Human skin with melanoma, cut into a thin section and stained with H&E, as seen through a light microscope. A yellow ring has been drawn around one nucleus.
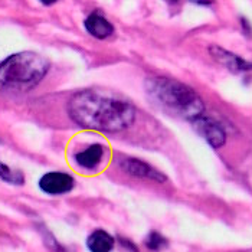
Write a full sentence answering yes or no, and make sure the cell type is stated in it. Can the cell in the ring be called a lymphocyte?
Yes, the cell in the ring is accurately described as a lymphocyte.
